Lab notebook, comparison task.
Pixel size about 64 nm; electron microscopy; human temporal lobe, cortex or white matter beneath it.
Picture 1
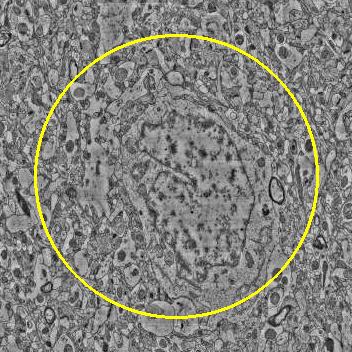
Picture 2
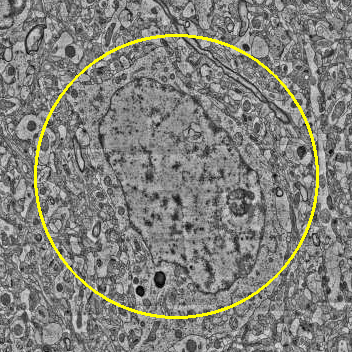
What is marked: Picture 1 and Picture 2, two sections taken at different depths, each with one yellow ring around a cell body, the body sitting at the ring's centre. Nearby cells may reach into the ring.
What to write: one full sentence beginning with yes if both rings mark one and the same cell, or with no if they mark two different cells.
Yes, only one cell is involved, and both rings mark it.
